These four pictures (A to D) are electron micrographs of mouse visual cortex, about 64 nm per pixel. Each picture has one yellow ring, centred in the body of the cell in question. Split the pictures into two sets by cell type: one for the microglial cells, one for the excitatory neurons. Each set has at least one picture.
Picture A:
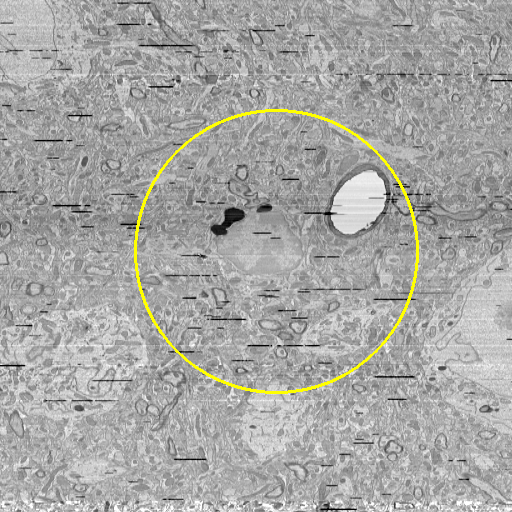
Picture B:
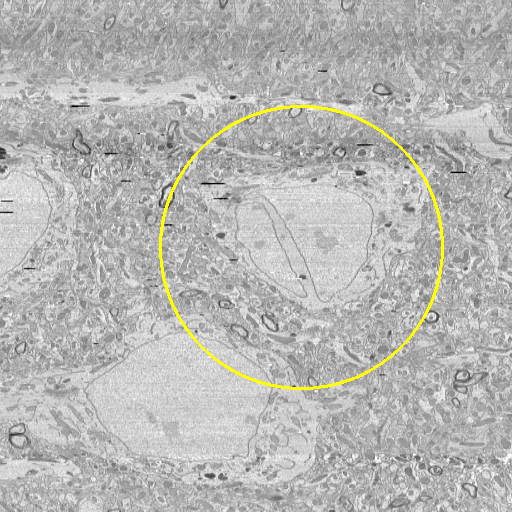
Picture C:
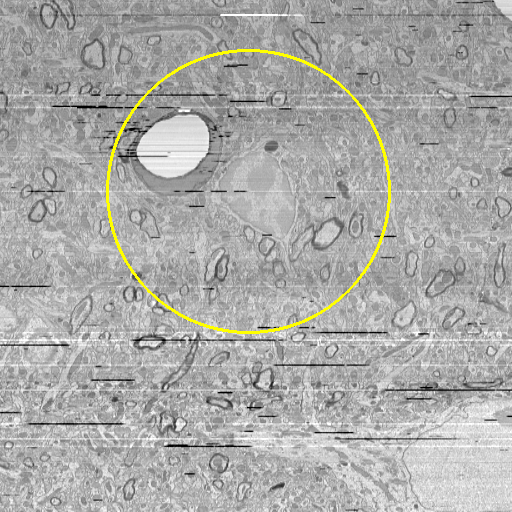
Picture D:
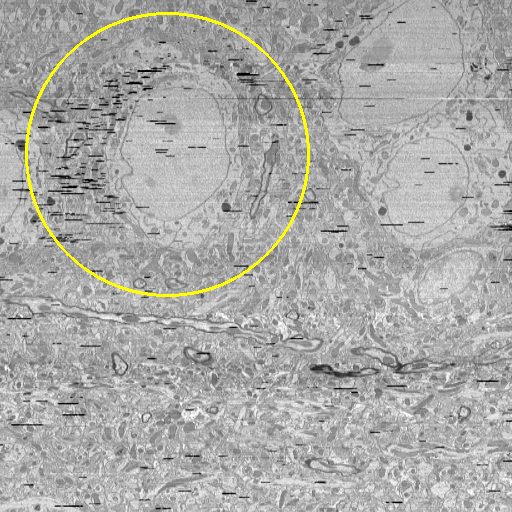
Pictures A and C show microglial cells, while pictures B and D show excitatory neurons.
